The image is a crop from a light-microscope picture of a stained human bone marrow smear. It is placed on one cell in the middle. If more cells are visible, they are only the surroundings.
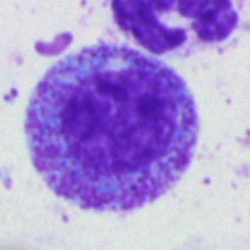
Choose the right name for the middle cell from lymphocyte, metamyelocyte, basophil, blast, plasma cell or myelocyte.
myelocyte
